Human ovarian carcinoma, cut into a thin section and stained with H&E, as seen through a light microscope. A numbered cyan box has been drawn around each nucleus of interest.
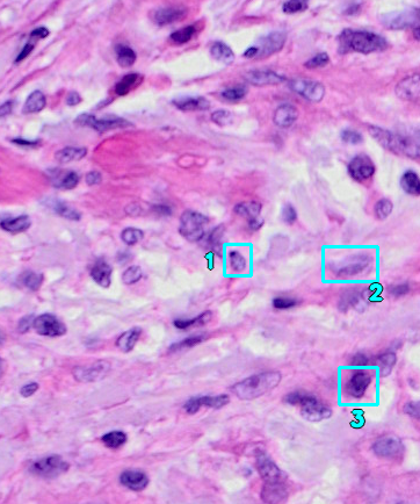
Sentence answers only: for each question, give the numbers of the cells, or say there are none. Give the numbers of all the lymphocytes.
In this section, the cells numbered 1 and 3 are lymphocytes.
